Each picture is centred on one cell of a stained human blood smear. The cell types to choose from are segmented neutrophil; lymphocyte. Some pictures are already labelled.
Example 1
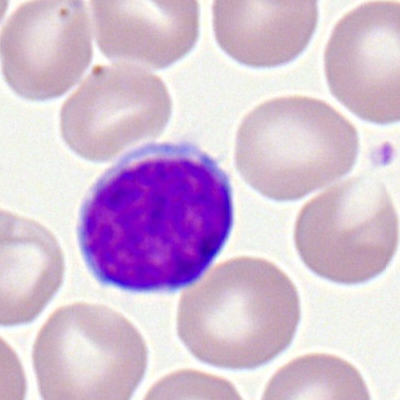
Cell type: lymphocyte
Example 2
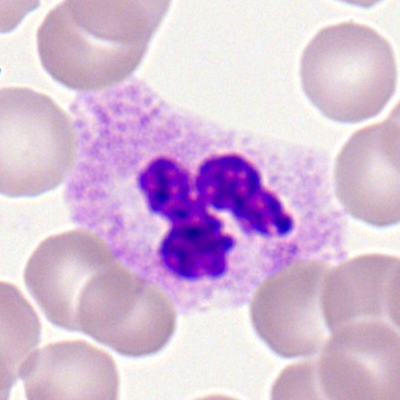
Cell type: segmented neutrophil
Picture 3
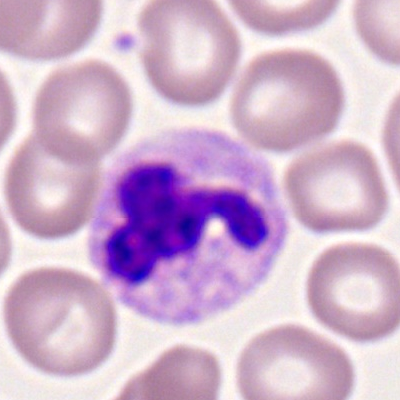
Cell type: segmented neutrophil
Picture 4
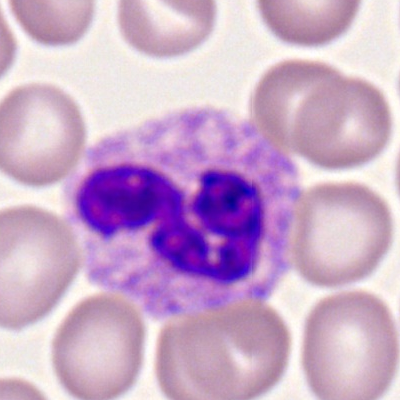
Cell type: segmented neutrophil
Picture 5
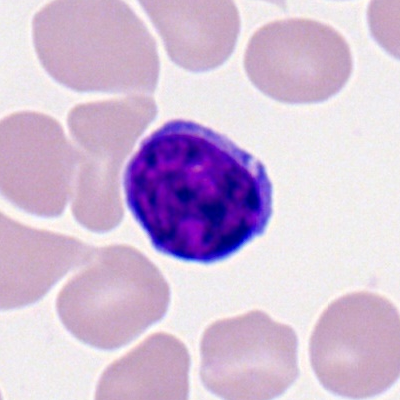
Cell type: lymphocyte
